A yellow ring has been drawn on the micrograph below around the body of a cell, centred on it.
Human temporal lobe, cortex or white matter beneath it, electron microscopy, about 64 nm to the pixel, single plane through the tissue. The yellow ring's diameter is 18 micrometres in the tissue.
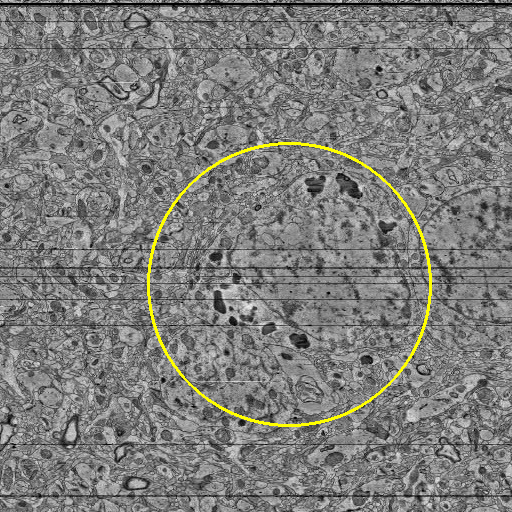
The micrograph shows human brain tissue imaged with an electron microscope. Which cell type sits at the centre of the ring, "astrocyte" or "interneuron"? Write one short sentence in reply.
The cell sitting at the centre of the ring is an interneuron.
